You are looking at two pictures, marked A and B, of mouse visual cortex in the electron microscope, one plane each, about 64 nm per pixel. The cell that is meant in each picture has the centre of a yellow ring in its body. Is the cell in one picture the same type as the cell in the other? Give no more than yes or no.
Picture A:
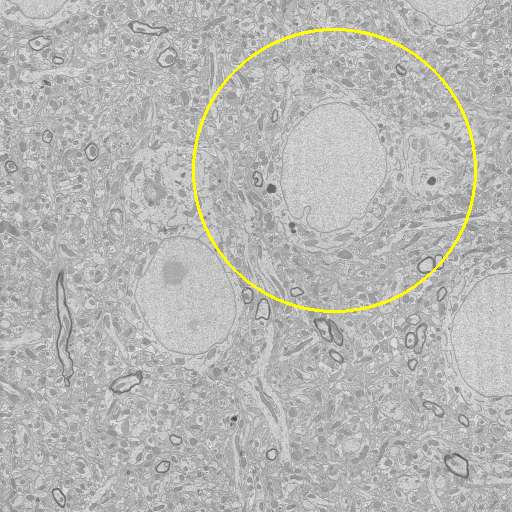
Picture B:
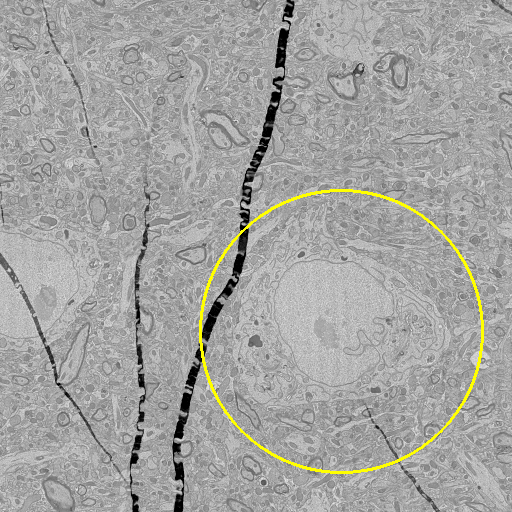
no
